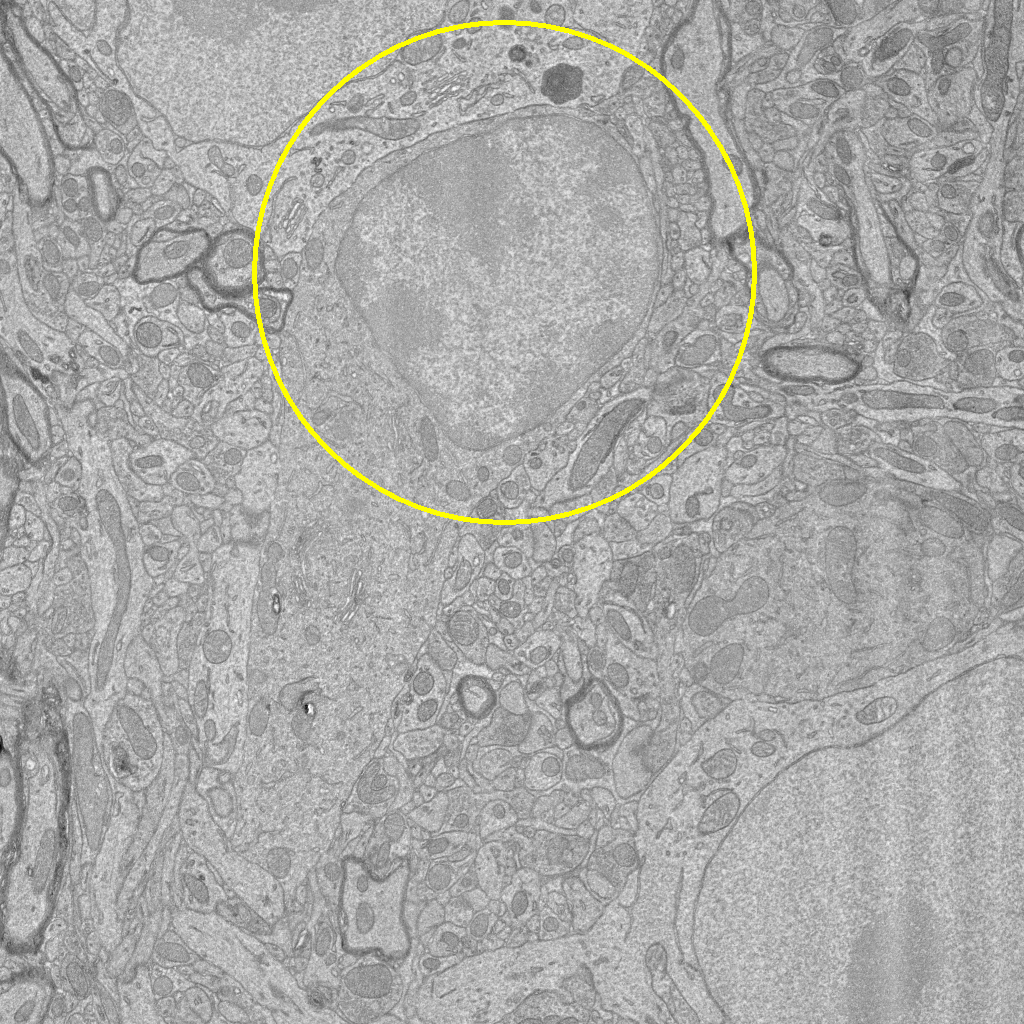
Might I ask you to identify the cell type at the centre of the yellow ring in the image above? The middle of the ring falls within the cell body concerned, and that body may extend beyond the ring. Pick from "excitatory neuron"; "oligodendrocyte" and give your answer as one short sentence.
The centre of the ring falls on an oligodendrocyte.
